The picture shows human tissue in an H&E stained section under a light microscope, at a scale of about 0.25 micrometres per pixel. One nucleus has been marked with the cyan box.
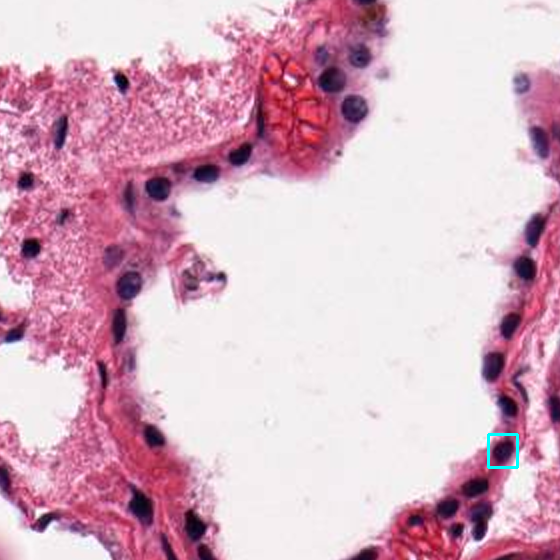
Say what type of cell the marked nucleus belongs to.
thyroid follicular cell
